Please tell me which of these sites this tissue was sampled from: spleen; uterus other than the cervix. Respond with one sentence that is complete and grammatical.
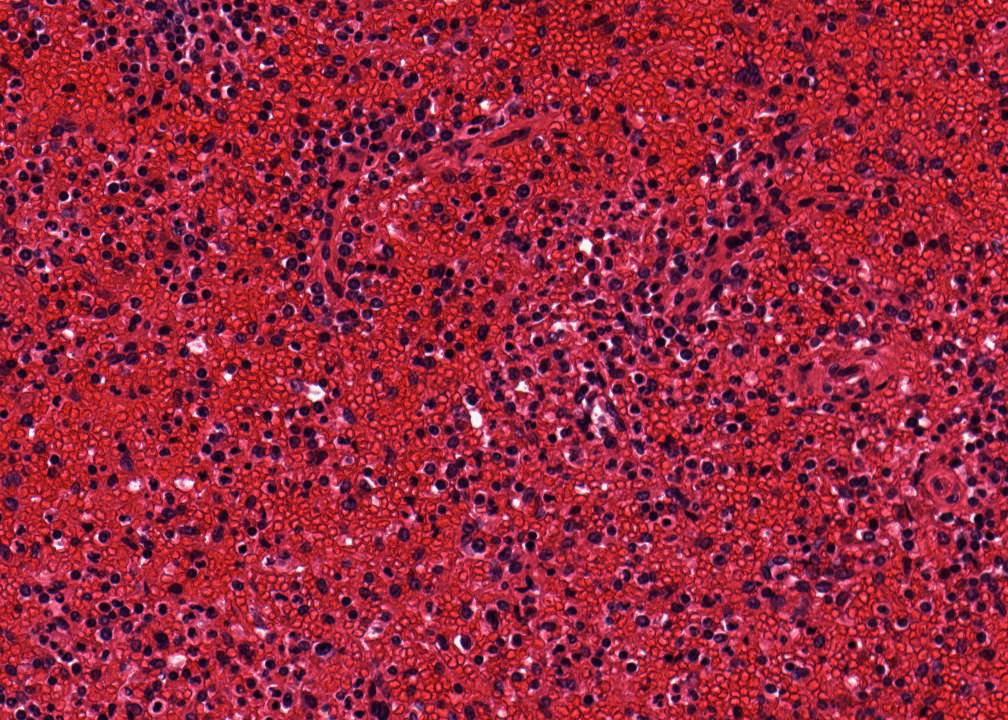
For this section, tissue was sampled from the spleen.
